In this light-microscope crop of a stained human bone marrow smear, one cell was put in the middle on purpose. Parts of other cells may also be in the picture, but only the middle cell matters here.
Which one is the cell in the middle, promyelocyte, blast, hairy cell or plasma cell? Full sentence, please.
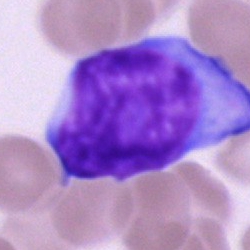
Positioned in the middle of the crop is a blast.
